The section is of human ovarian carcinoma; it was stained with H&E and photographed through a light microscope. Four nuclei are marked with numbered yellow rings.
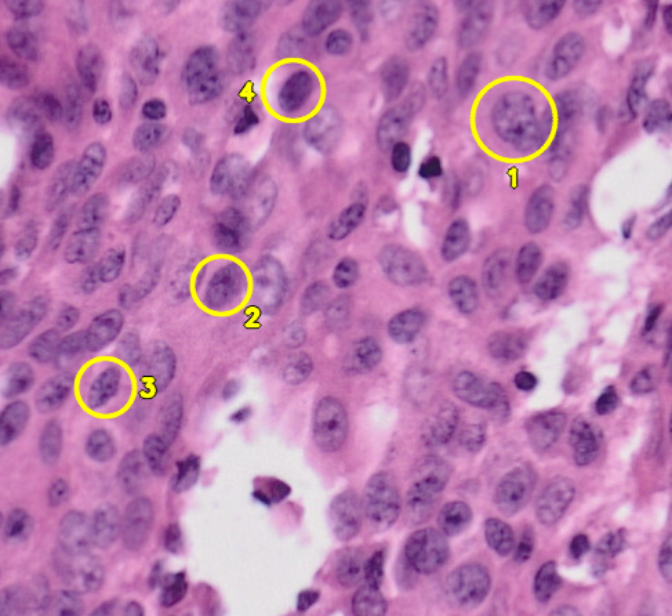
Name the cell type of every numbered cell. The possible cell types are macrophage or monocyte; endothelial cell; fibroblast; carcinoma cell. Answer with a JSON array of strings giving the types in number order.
["carcinoma cell", "carcinoma cell", "macrophage or monocyte", "carcinoma cell"]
